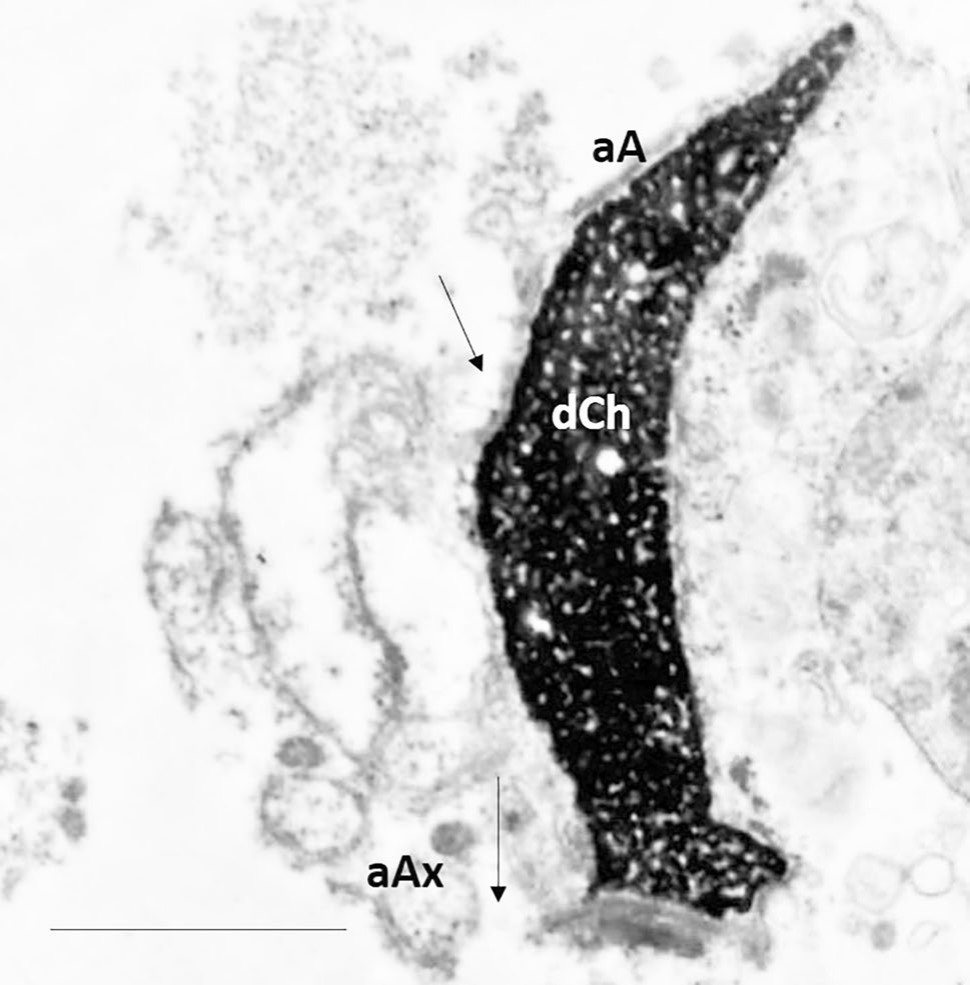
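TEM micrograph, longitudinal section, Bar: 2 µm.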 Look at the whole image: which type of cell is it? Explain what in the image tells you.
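Sperm. A tail region is attached at the lower end of the dense head.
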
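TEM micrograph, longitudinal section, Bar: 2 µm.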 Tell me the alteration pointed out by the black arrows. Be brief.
Broken plasma membrane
